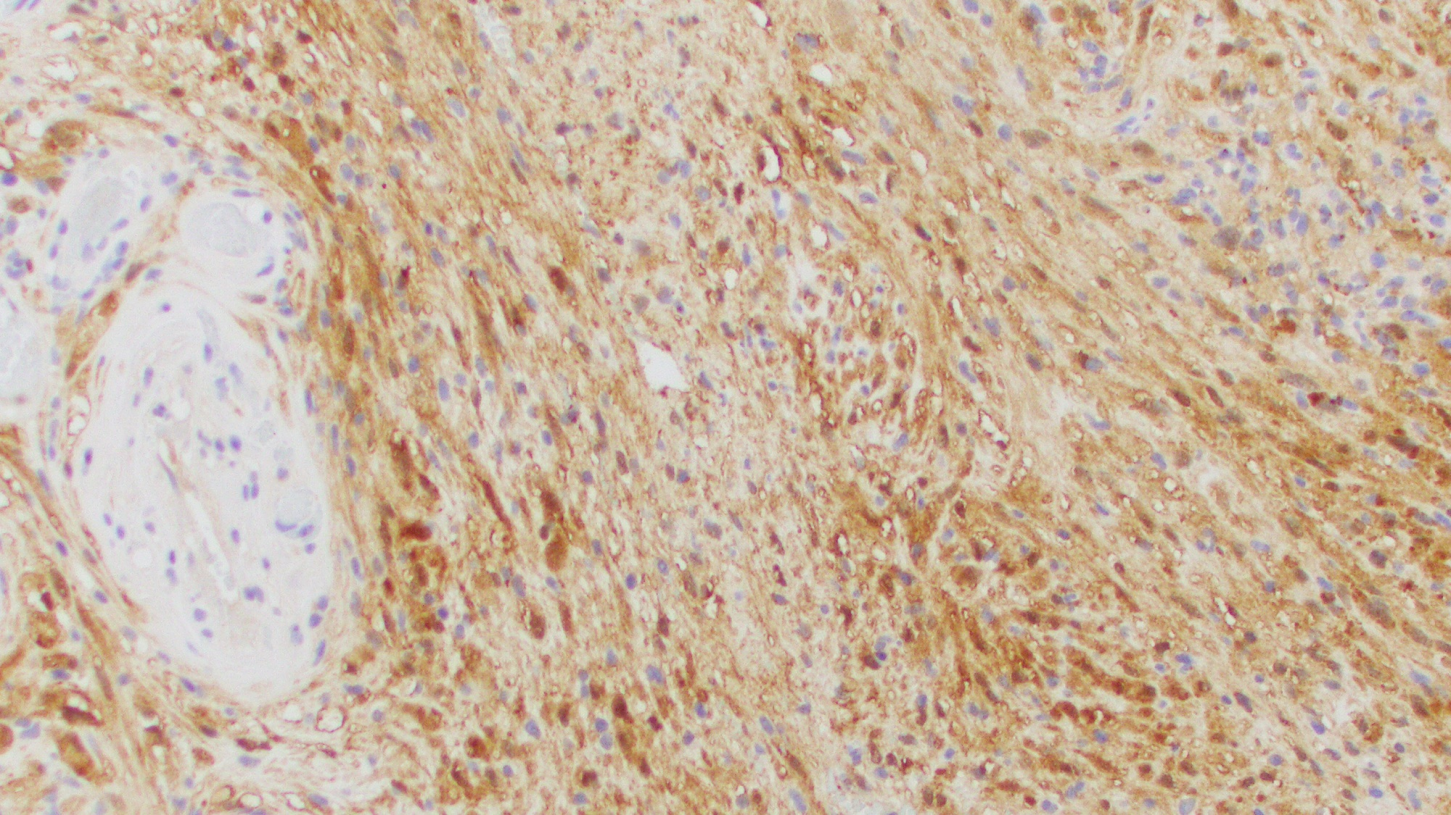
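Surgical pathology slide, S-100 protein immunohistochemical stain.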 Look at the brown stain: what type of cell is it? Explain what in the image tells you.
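Schwannoma cells. Elongated spindle cells lie in streaming, interlacing fascicles. Most of the spindle cells carry brown cytoplasmic staining, with some brown nuclei.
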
